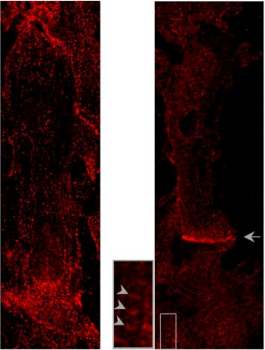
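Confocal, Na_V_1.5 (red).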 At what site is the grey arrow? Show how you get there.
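A bright red band runs straight across the width of the cell. The arrow points at the band where one elongated cell ends and the next begins.
Cell-cell contact.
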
